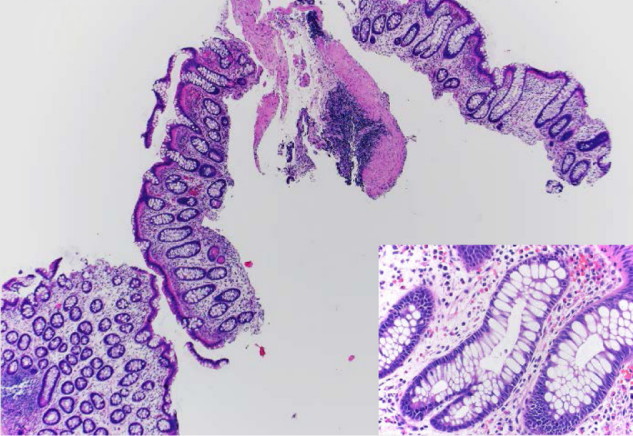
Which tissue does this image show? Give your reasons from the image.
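Colonic mucosa. Straight, tubular crypts lined by goblet-cell-rich epithelium sit in parallel rows. A flat surface epithelium caps the mucosa.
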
